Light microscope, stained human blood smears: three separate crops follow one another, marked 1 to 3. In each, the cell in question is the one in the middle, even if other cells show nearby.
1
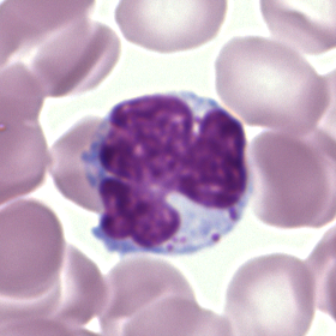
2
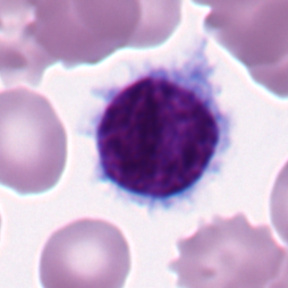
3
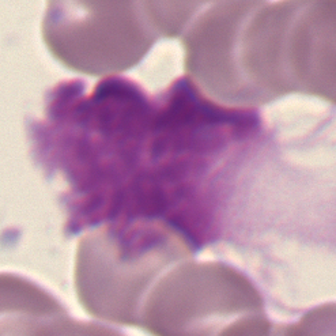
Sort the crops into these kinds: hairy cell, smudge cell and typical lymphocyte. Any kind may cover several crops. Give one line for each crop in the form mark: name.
1: typical lymphocyte
2: hairy cell
3: smudge cell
